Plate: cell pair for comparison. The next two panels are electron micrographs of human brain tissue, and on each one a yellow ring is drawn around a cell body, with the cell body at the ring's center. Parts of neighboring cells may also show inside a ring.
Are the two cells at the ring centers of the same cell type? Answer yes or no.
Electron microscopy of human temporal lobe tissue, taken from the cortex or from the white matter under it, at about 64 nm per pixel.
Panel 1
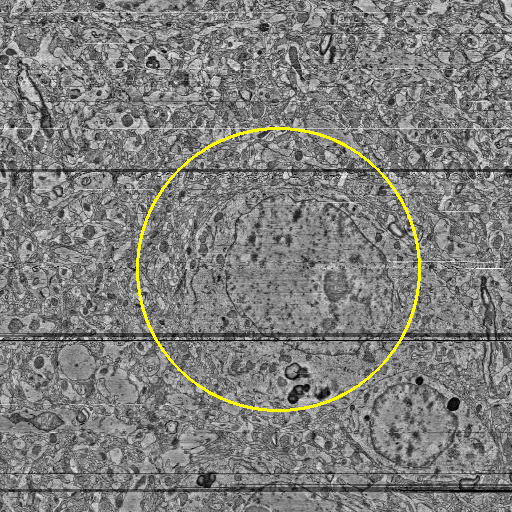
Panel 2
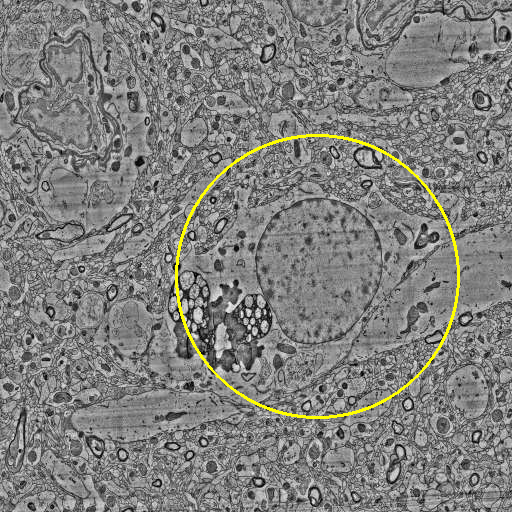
no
